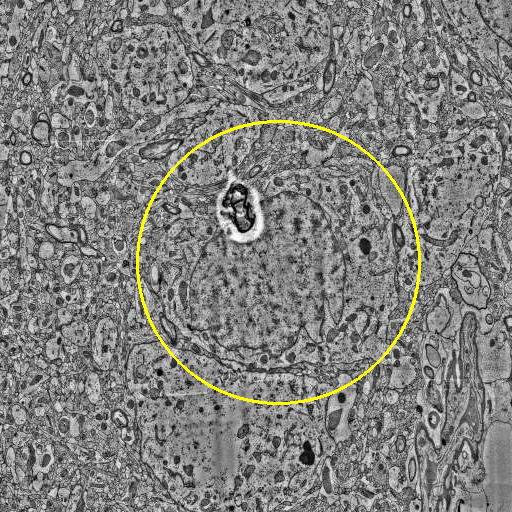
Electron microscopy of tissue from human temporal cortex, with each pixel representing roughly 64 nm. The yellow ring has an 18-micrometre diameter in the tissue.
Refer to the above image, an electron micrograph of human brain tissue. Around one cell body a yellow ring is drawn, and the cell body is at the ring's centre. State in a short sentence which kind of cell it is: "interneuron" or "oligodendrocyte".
The centre of the ring falls on an interneuron.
